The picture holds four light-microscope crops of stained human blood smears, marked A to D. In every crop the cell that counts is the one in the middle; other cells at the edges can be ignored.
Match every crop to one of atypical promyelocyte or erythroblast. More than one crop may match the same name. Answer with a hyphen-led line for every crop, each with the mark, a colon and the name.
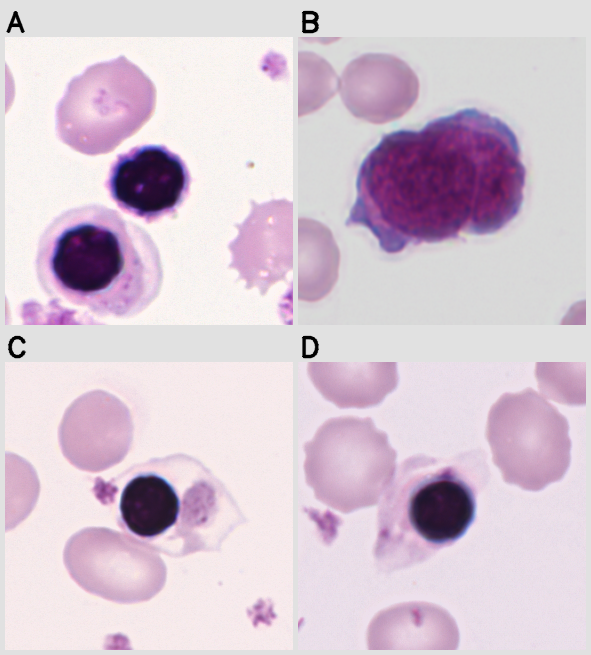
- A: erythroblast
- B: atypical promyelocyte
- C: erythroblast
- D: erythroblast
